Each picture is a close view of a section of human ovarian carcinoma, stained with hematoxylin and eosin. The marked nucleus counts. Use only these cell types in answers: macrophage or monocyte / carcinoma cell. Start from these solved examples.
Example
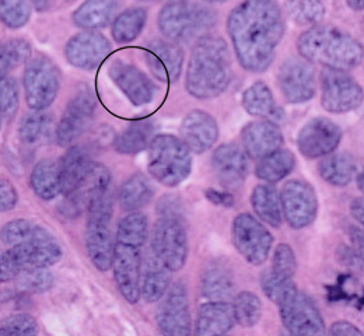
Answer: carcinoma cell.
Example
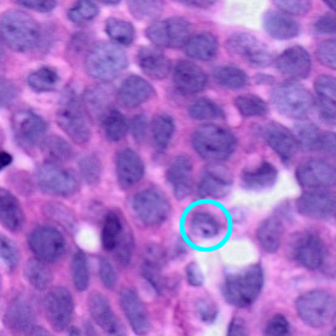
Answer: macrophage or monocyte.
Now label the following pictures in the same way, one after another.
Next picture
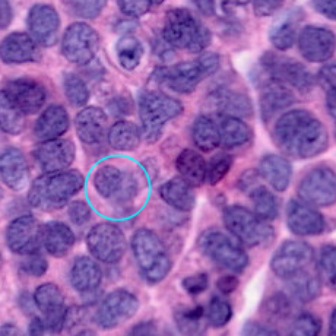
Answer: carcinoma cell.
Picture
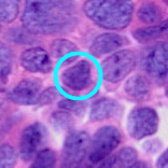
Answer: carcinoma cell.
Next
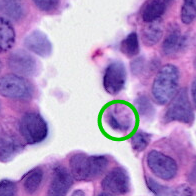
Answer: macrophage or monocyte.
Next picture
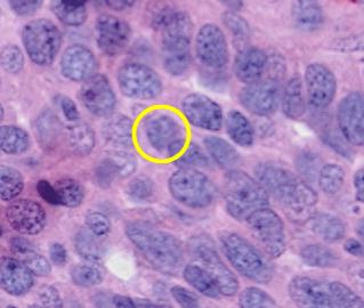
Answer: carcinoma cell.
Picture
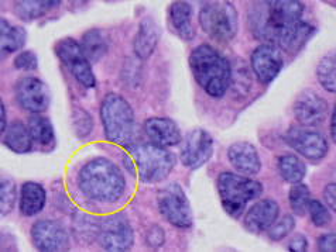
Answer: carcinoma cell.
